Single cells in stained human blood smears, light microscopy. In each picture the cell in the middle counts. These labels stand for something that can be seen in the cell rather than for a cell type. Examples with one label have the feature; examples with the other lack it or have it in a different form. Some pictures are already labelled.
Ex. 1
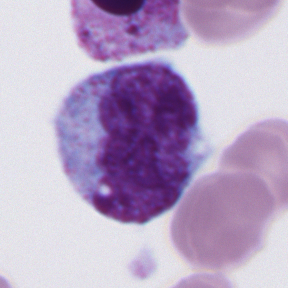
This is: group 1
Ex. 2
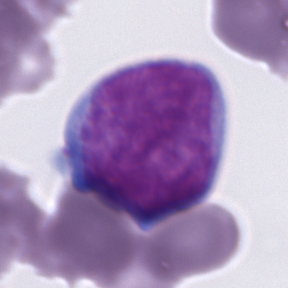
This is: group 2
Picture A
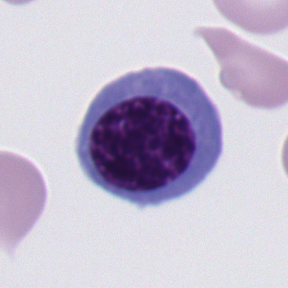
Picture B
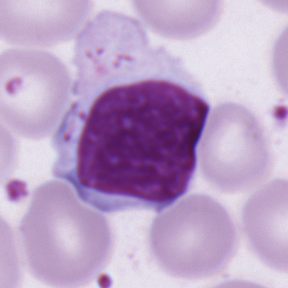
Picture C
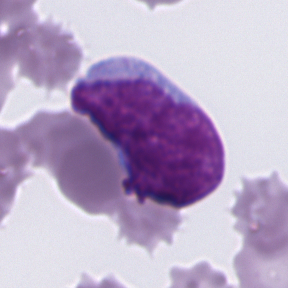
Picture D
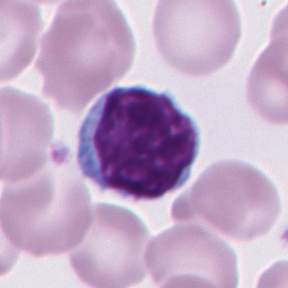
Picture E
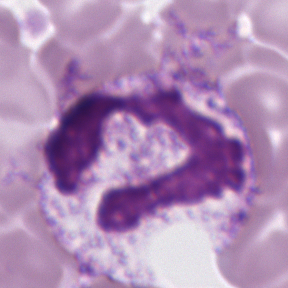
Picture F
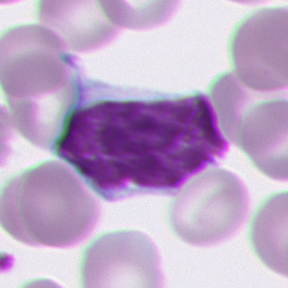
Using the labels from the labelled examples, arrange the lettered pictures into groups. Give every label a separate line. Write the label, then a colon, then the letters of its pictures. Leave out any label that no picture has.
group 1: A, D
group 2: B, C, E, F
